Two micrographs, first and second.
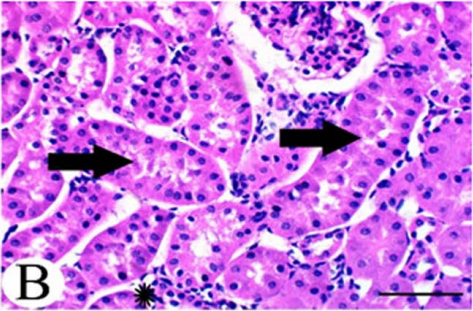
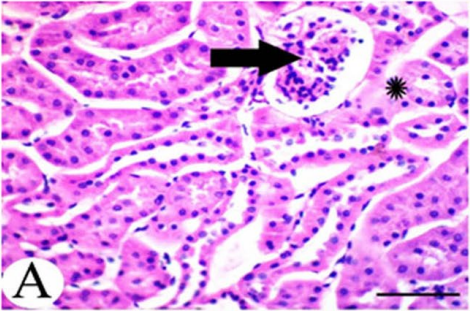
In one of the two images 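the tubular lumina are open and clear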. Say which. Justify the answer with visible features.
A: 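The second image. First image: many tubules lack an open central lumen and small dark cells crowd between tubules. Second image: tubules show distinct clear central lumina.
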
